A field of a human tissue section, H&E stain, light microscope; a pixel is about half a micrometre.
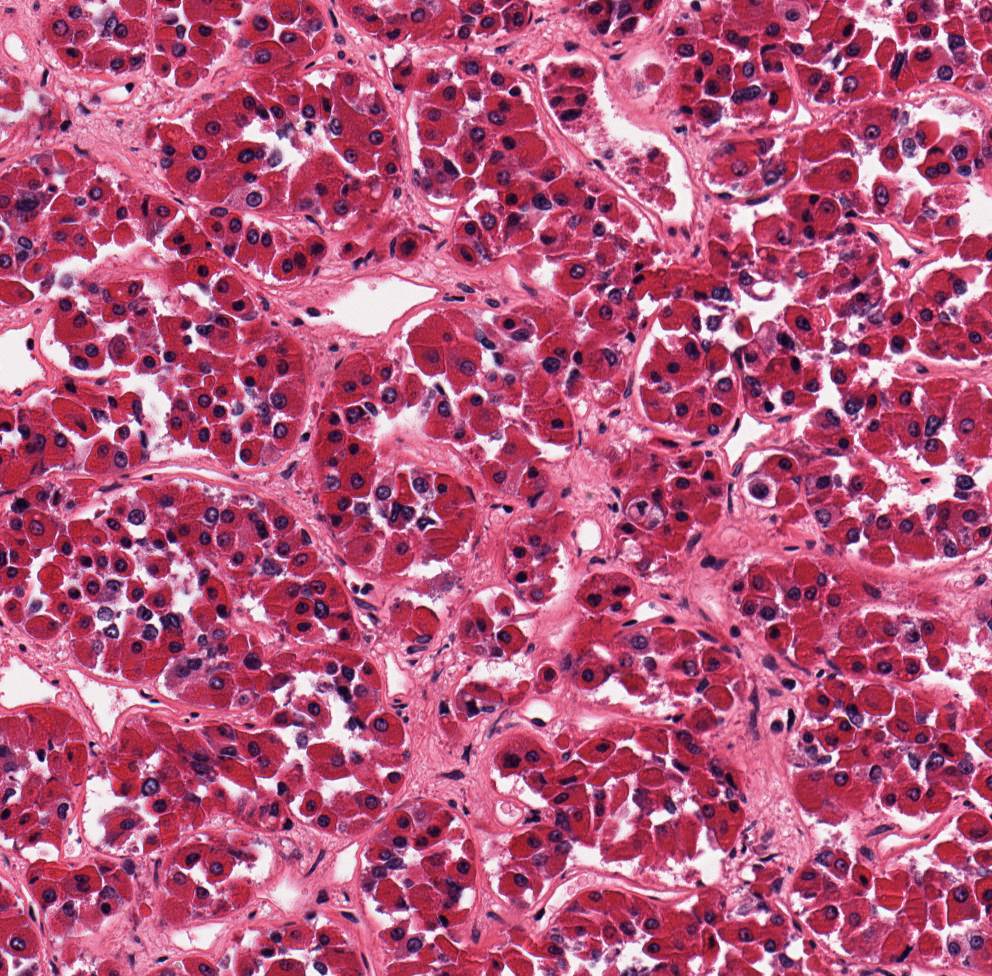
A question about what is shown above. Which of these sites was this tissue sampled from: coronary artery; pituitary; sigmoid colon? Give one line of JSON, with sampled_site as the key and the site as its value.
{"sampled_site": "pituitary"}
